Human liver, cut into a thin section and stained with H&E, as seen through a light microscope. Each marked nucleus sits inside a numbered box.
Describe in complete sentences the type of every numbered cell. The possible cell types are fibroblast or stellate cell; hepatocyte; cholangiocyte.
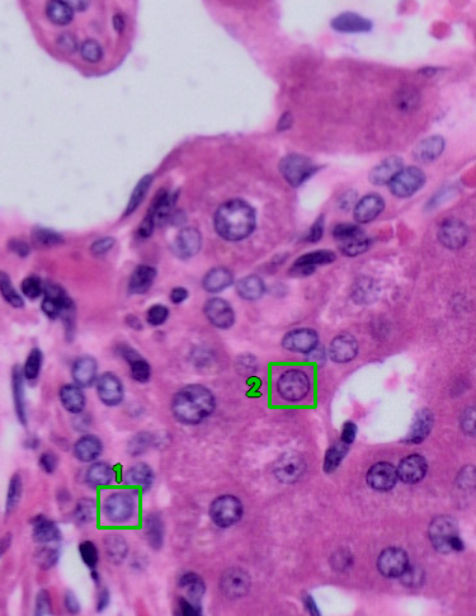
Cell 1 is a cholangiocyte and cell 2 is a hepatocyte.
